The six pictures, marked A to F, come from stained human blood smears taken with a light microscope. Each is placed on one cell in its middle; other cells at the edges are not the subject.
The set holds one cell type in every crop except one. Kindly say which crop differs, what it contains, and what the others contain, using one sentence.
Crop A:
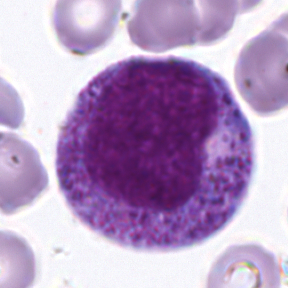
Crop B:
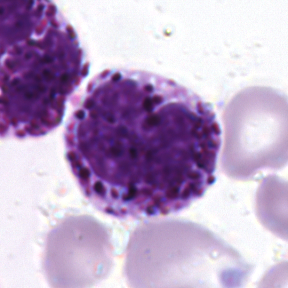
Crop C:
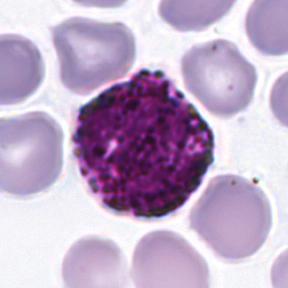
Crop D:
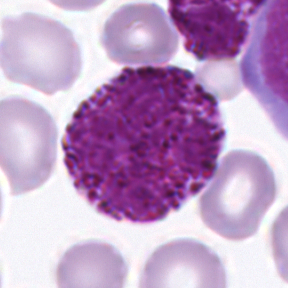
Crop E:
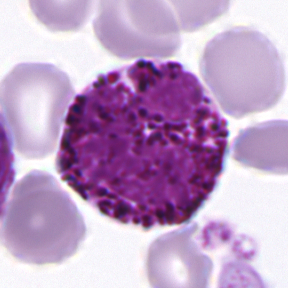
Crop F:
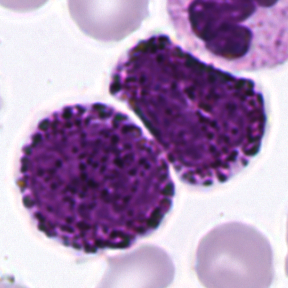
With the other crops all showing basophils, crop A differs by showing a promyelocyte.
